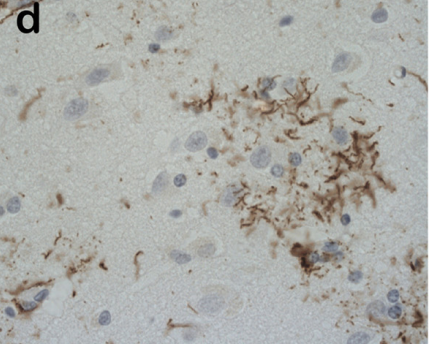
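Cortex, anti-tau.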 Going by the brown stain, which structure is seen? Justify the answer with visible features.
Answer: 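Short brown thread-like processes cluster in a ring-like patch. The patch lies among unstained nuclei.
Hence: astrocytic plaque.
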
